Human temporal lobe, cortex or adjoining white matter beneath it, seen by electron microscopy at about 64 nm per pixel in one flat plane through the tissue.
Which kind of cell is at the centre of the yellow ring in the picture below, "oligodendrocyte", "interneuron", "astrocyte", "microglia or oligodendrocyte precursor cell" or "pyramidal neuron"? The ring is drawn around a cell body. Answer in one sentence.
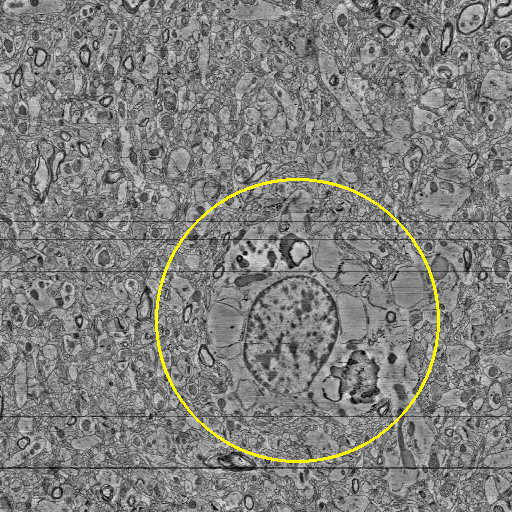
The ring's central cell is an astrocyte.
